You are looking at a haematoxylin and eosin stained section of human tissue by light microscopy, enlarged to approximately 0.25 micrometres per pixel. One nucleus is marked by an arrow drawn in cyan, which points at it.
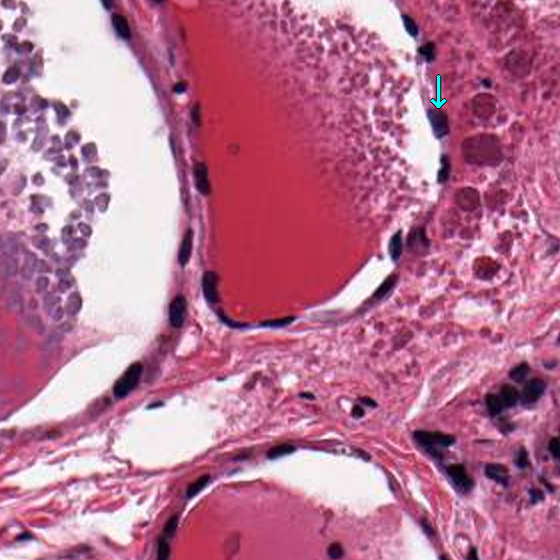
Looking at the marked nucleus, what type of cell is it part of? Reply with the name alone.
thyroid follicular cell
